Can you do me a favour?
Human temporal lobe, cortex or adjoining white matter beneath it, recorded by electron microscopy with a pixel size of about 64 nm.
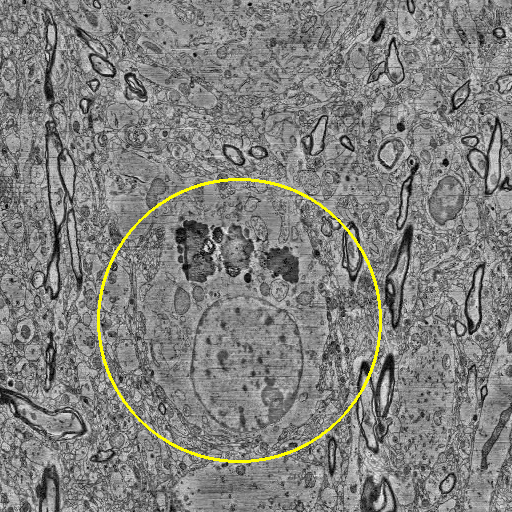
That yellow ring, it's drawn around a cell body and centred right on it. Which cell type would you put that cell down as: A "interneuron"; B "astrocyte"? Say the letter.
B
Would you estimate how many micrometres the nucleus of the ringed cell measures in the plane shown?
In this plane the nucleus measures roughly 9 by 7 micrometres.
